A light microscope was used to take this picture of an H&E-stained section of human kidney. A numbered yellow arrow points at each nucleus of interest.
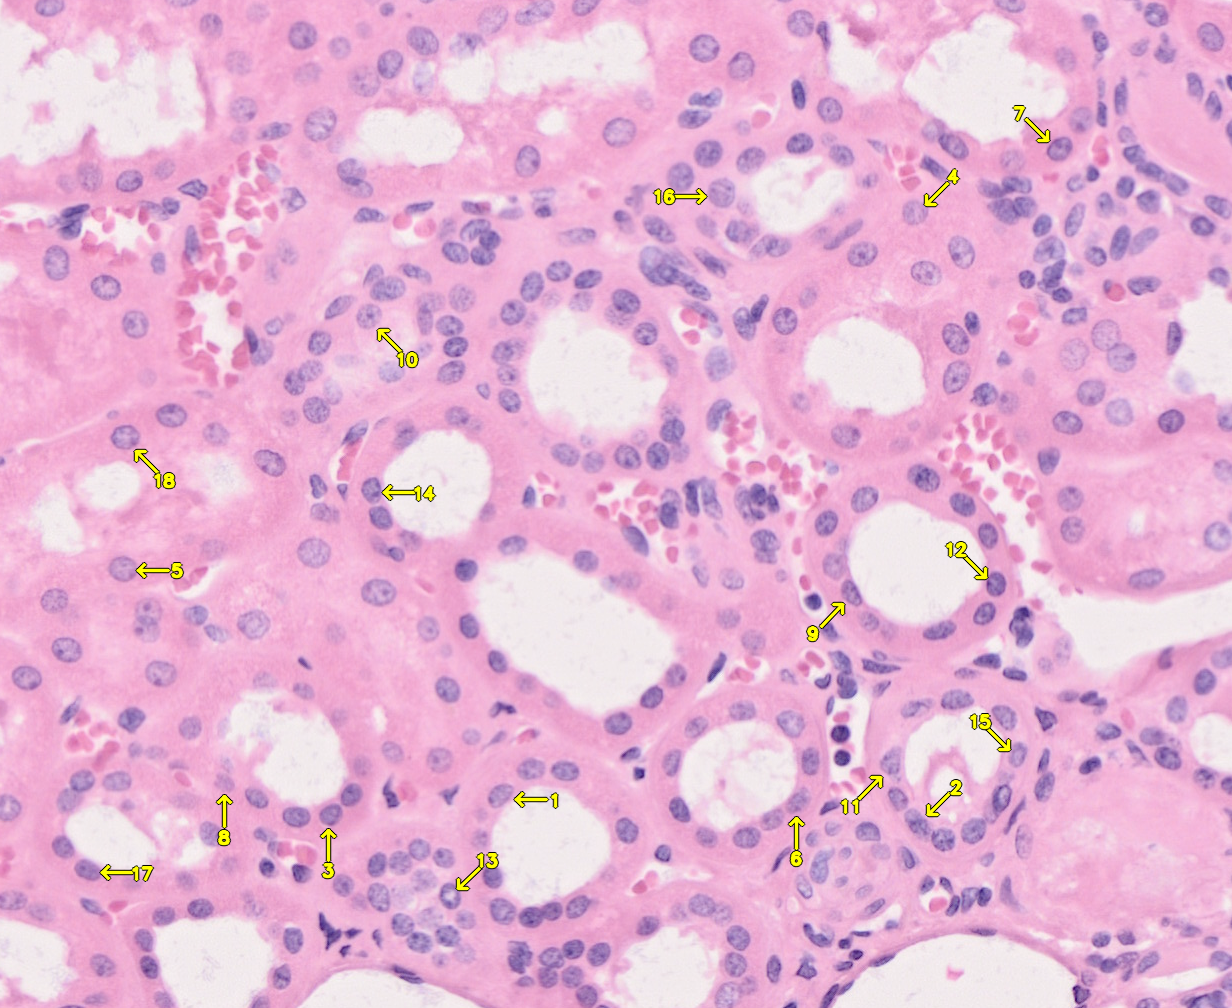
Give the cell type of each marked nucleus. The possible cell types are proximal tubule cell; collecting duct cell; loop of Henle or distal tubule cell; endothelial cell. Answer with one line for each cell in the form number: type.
1: loop of Henle or distal tubule cell
2: collecting duct cell
3: loop of Henle or distal tubule cell
4: proximal tubule cell
5: proximal tubule cell
6: loop of Henle or distal tubule cell
7: proximal tubule cell
8: loop of Henle or distal tubule cell
9: loop of Henle or distal tubule cell
10: collecting duct cell
11: collecting duct cell
12: collecting duct cell
13: collecting duct cell
14: loop of Henle or distal tubule cell
15: collecting duct cell
16: collecting duct cell
17: loop of Henle or distal tubule cell
18: proximal tubule cell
